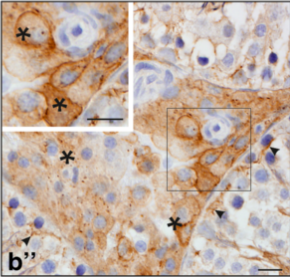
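Seminiferous tubules surround an interstitial space filled with groups of Leydig cells. The Leydig cells are polygonal with round blue nuclei, and dark brown lines trace the membranes where neighbouring cells touch, as the inset enlarges. The cytoplasm of these cells is also light brown. The tubule epithelium shows blue round germ cell nuclei with only faint brown stain between them.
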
